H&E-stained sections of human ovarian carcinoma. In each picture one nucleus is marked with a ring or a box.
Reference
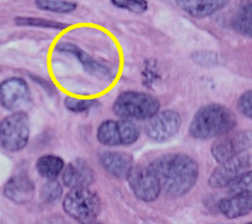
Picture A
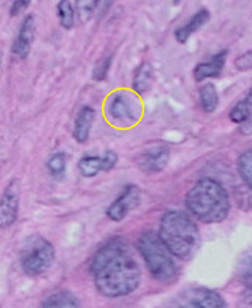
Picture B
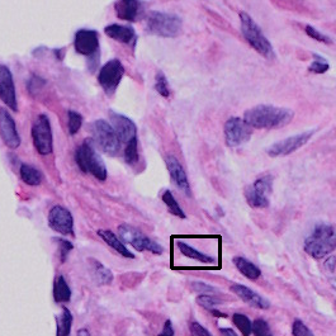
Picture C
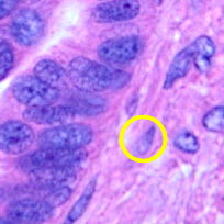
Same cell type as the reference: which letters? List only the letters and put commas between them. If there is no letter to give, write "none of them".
A, B, C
